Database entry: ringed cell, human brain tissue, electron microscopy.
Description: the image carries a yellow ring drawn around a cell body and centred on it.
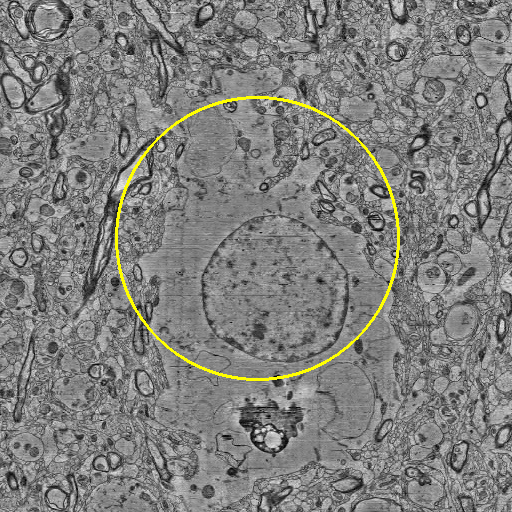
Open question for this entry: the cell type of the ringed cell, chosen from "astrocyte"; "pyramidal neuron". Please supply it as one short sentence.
The ringed cell is an astrocyte.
